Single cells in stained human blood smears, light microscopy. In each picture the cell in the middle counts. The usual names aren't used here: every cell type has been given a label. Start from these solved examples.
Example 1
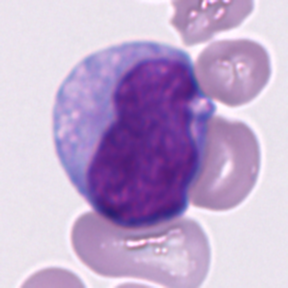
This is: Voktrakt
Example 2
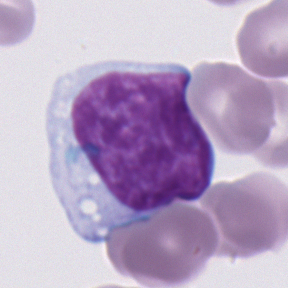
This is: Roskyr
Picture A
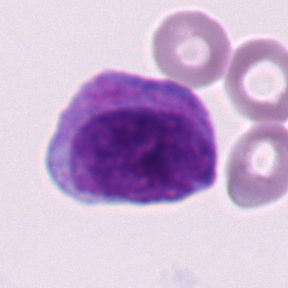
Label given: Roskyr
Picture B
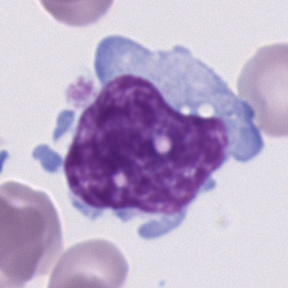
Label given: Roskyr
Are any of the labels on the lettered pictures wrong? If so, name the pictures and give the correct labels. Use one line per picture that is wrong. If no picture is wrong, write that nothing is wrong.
A: Voktrakt, not Roskyr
